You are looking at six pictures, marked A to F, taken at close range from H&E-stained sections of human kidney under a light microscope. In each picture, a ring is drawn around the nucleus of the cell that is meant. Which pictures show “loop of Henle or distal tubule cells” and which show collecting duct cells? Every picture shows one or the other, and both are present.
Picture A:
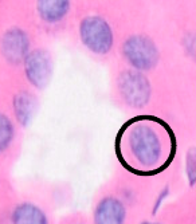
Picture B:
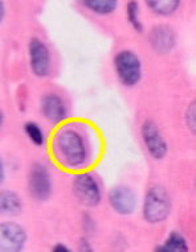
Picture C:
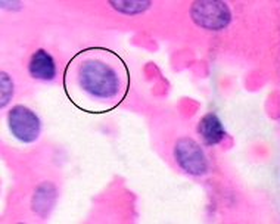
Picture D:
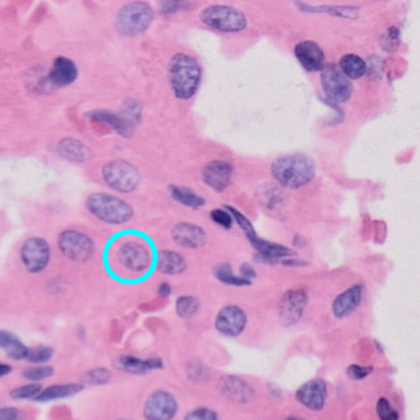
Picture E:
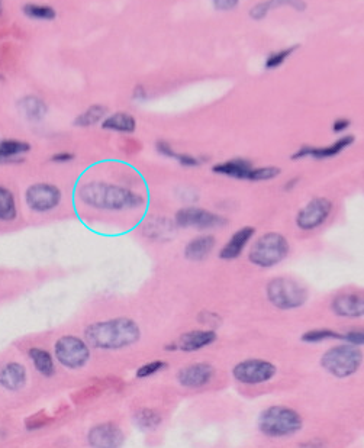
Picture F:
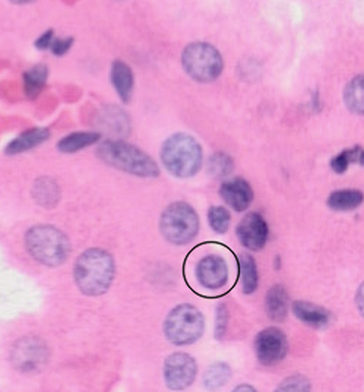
A: loop of Henle or distal tubule cell
B: loop of Henle or distal tubule cell
C: collecting duct cell
D: loop of Henle or distal tubule cell
E: collecting duct cell
F: collecting duct cell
